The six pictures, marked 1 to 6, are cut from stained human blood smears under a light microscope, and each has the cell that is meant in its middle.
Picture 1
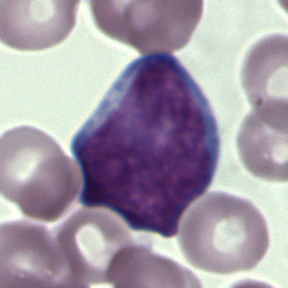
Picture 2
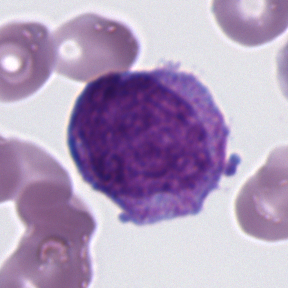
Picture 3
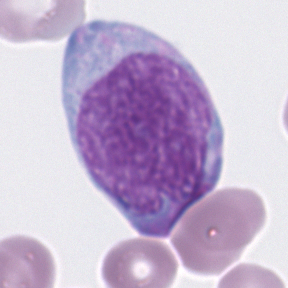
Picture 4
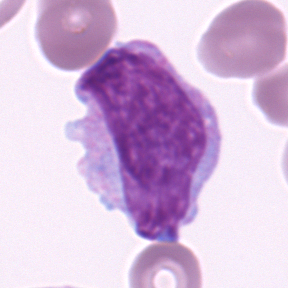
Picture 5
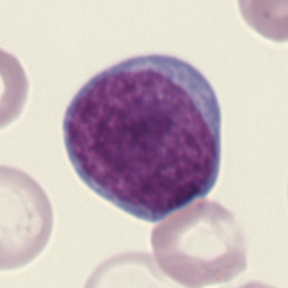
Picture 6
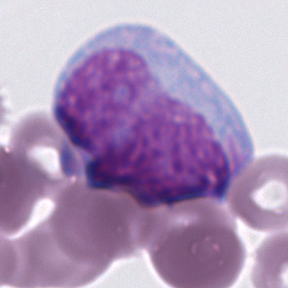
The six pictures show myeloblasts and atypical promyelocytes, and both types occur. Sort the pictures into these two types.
1: myeloblast
2: atypical promyelocyte
3: atypical promyelocyte
4: atypical promyelocyte
5: myeloblast
6: atypical promyelocyte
